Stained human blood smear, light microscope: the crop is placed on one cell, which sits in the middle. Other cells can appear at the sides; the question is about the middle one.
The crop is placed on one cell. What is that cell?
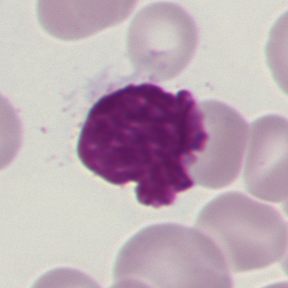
smudge cell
